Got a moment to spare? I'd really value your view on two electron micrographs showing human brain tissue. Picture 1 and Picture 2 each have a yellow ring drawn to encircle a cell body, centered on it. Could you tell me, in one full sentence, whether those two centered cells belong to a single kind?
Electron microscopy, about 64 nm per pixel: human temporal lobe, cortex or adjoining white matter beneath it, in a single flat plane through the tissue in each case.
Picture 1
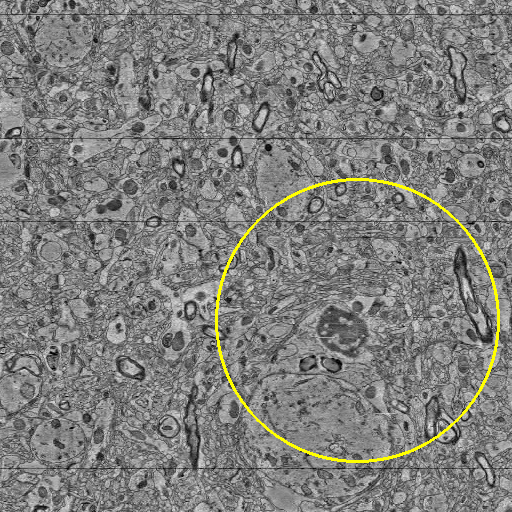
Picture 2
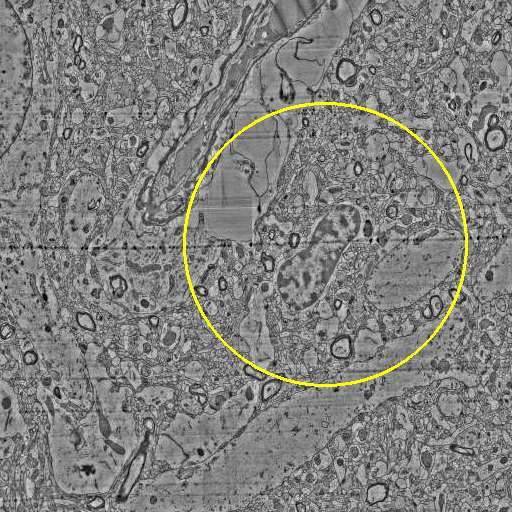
Yes, the two centered cells in Picture 1 and Picture 2 are of a single kind.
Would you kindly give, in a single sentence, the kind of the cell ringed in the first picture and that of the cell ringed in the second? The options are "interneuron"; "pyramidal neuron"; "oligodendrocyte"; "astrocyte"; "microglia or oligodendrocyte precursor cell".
Each of the two cells is a microglial cell or oligodendrocyte precursor cell.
